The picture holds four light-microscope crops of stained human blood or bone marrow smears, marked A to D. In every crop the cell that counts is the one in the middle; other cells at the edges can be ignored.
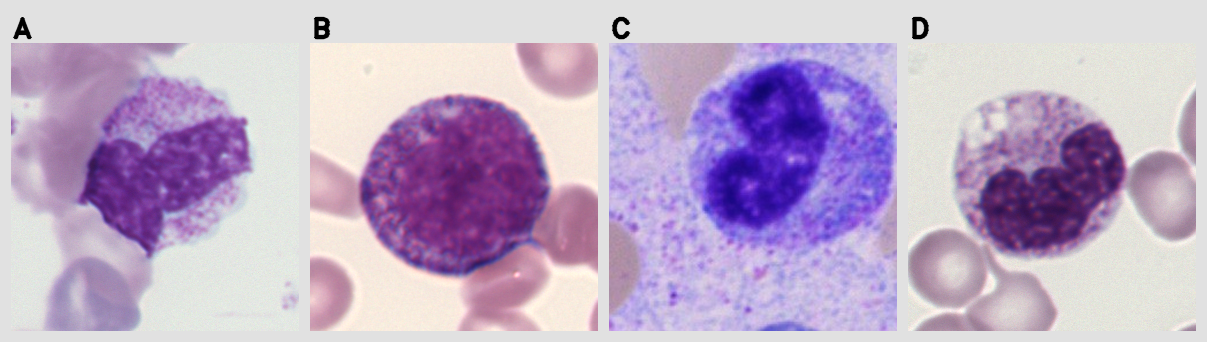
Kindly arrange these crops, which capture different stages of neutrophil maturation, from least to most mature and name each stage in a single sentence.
Ordered by maturity, from least to most, the crops are crop B (a promyelocyte), crop C (a metamyelocyte), crop A (a band neutrophil) and crop D (a segmented neutrophil).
